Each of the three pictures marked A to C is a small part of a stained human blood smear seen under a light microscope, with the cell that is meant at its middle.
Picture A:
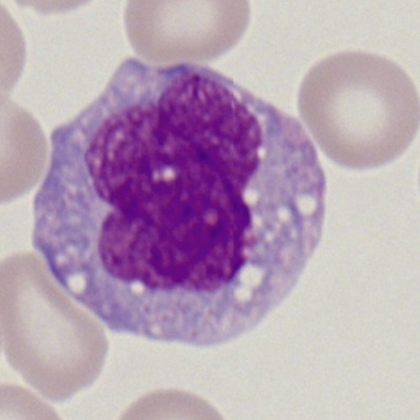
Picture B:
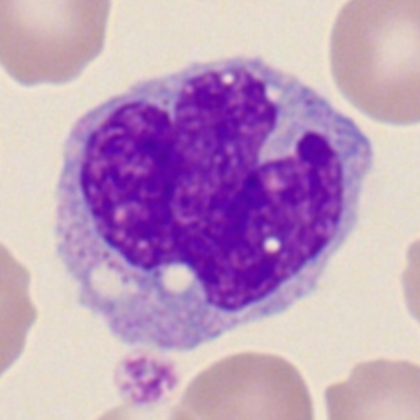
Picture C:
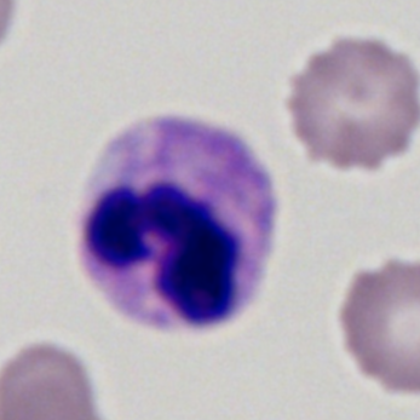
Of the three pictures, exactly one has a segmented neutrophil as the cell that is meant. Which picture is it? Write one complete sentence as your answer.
It is picture C that shows the segmented neutrophil.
